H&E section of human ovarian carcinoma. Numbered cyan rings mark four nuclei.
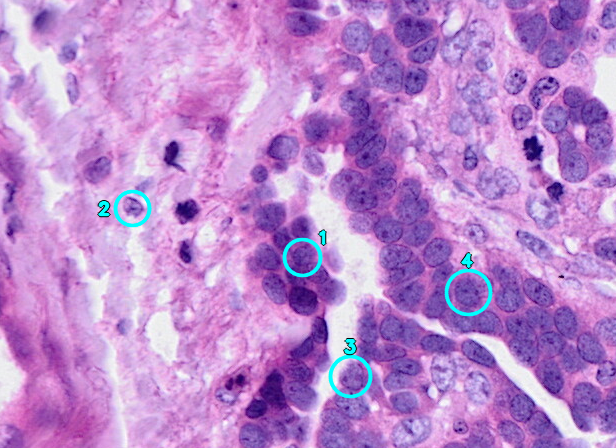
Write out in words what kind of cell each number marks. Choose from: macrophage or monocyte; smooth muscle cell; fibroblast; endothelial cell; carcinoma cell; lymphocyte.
Cells 1, 3 and 4 are carcinoma cells. Cell 2 is a lymphocyte.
